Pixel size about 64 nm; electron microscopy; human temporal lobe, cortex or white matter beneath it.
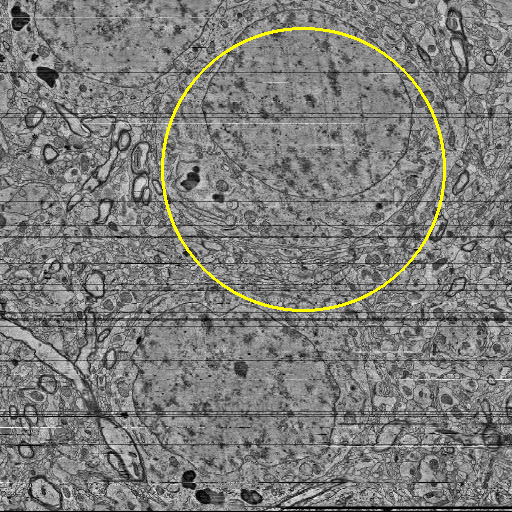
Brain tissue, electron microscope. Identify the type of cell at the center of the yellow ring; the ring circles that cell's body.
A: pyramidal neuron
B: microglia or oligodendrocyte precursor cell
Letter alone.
A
